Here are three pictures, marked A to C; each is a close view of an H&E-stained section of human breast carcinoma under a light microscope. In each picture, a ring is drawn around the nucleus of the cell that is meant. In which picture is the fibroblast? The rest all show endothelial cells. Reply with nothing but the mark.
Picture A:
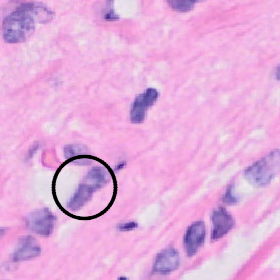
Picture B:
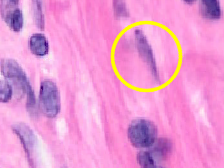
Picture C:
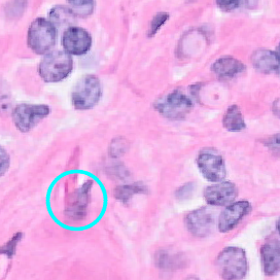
B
